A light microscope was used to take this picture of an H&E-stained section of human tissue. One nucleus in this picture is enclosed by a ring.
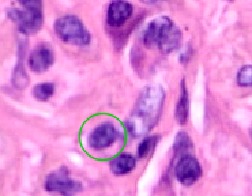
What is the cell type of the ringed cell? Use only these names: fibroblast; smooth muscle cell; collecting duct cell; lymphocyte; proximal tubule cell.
lymphocyte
